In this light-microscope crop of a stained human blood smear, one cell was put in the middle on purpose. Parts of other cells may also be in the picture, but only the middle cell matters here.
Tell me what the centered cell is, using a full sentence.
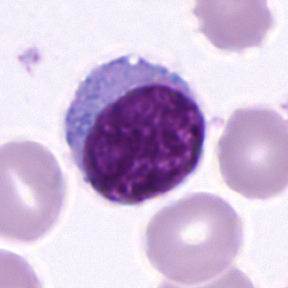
The central element of this crop is a cell, namely a plasma cell.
